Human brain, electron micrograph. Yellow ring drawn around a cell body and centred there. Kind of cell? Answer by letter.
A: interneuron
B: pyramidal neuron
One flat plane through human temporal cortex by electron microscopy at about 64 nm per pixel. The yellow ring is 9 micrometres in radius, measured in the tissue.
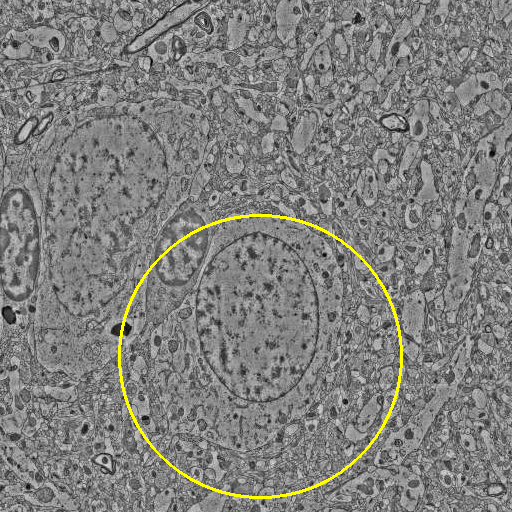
B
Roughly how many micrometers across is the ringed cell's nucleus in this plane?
In this plane the nucleus is about 11 micrometres by 8.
